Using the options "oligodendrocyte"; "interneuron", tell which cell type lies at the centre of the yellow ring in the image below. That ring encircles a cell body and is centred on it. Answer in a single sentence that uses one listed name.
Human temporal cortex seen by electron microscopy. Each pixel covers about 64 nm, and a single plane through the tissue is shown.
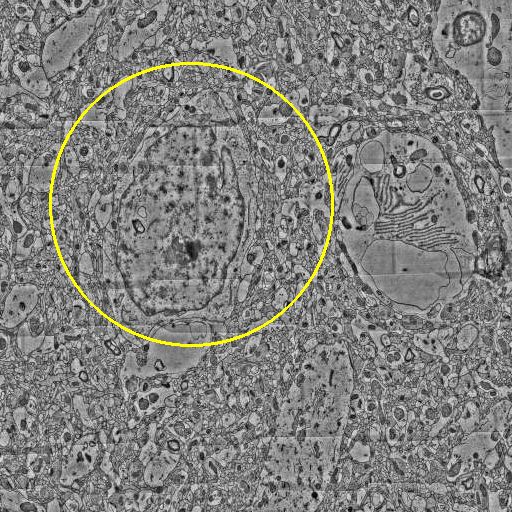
At the centre of the yellow ring lies the body of an interneuron.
